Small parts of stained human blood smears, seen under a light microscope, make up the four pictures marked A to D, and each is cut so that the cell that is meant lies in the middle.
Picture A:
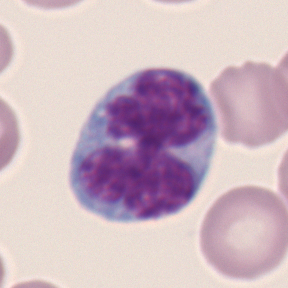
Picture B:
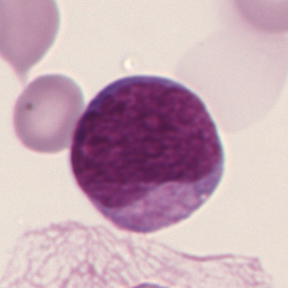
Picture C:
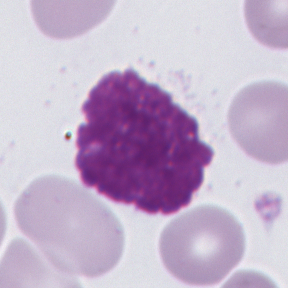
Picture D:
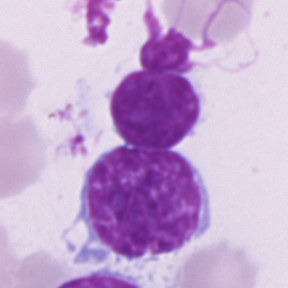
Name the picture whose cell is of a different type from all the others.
C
